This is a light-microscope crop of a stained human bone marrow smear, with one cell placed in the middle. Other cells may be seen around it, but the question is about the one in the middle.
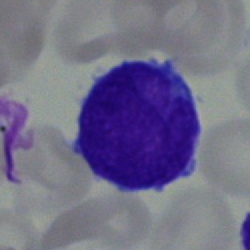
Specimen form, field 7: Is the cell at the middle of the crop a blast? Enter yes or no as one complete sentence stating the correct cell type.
Yes, the cell under consideration, the one in the middle, is a blast.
